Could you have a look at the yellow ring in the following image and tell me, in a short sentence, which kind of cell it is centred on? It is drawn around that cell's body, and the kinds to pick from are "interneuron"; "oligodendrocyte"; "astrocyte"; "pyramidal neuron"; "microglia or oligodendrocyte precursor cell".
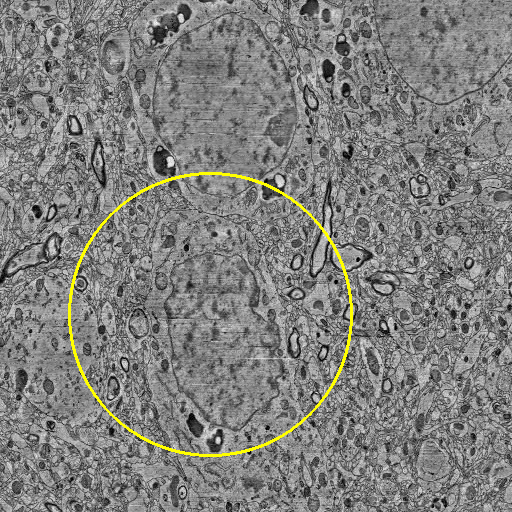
The ring is centred on the body of an interneuron.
